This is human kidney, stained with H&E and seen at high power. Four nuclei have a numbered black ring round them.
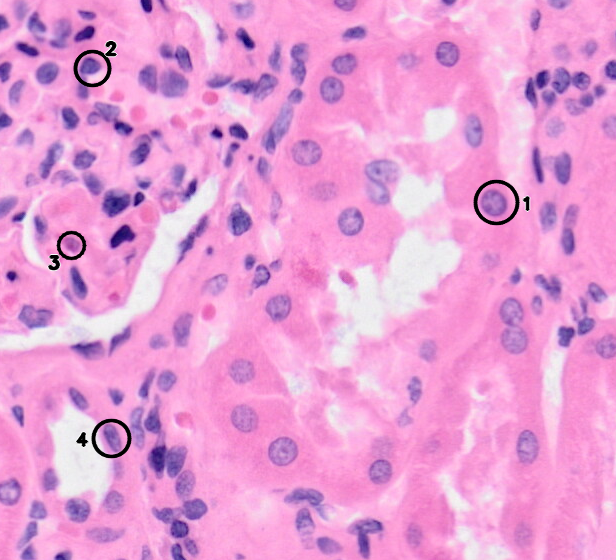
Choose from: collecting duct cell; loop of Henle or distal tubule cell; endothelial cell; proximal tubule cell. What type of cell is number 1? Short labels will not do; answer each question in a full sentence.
The cell given label 1 is a proximal tubule cell.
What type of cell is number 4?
The cell that goes by number 4 is a loop of Henle or distal tubule cell.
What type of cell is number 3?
The nucleus labelled 3 belongs to an endothelial cell.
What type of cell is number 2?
Here, the cell given the number 2 is an endothelial cell.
